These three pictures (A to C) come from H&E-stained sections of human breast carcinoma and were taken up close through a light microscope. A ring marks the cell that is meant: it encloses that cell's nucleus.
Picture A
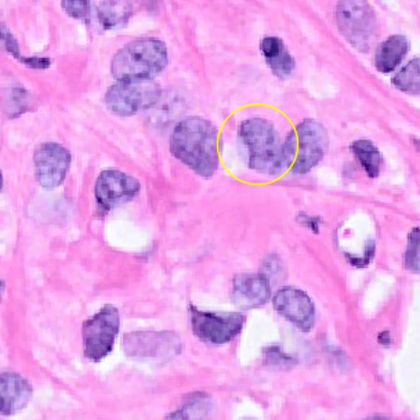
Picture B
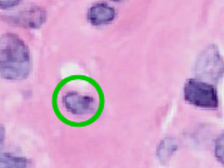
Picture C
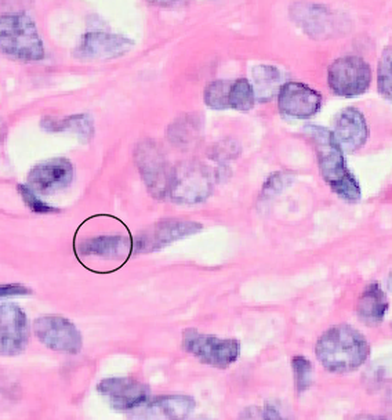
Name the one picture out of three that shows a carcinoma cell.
A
